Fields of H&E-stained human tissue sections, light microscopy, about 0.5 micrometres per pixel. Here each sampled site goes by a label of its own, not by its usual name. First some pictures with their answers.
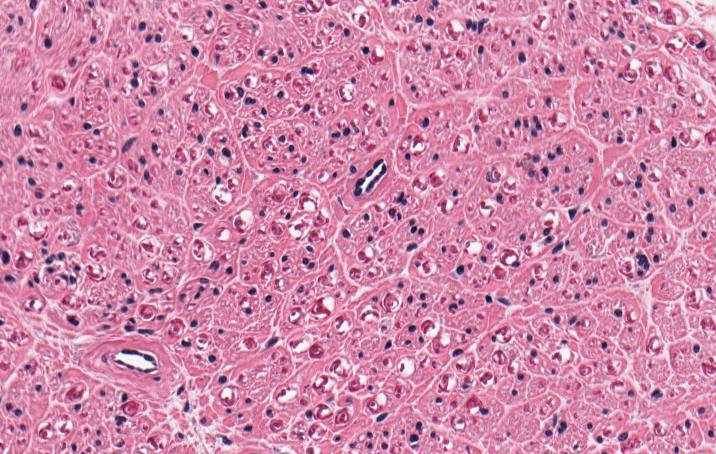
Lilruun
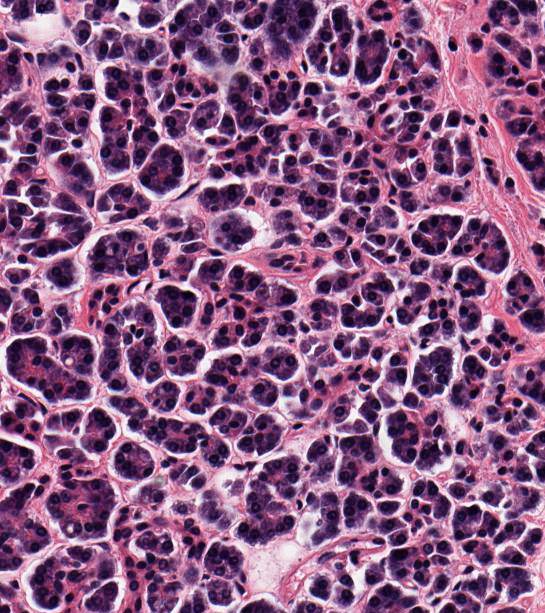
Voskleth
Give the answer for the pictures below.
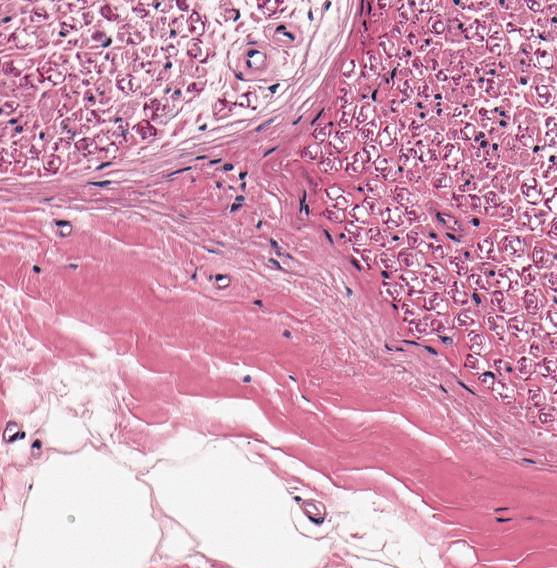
Lilruun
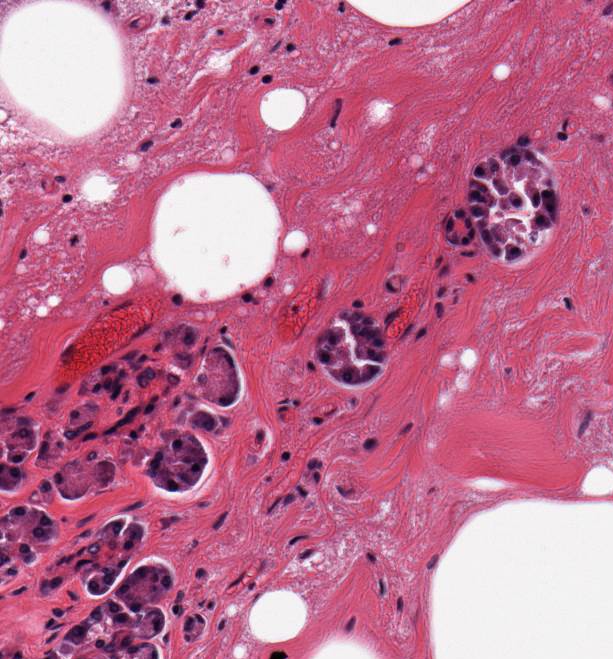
Voskleth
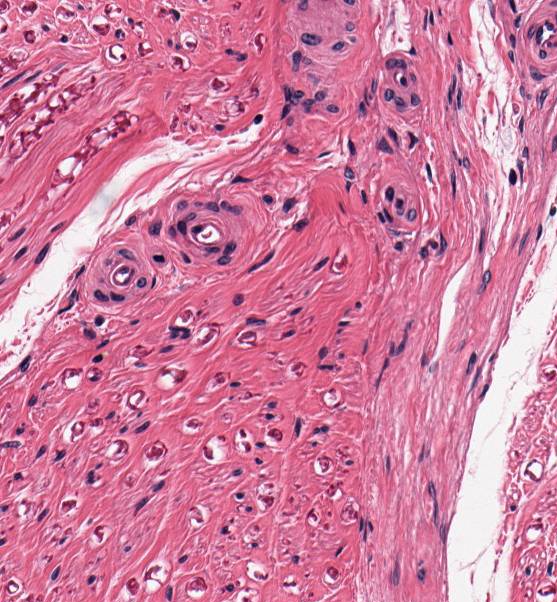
Lilruun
